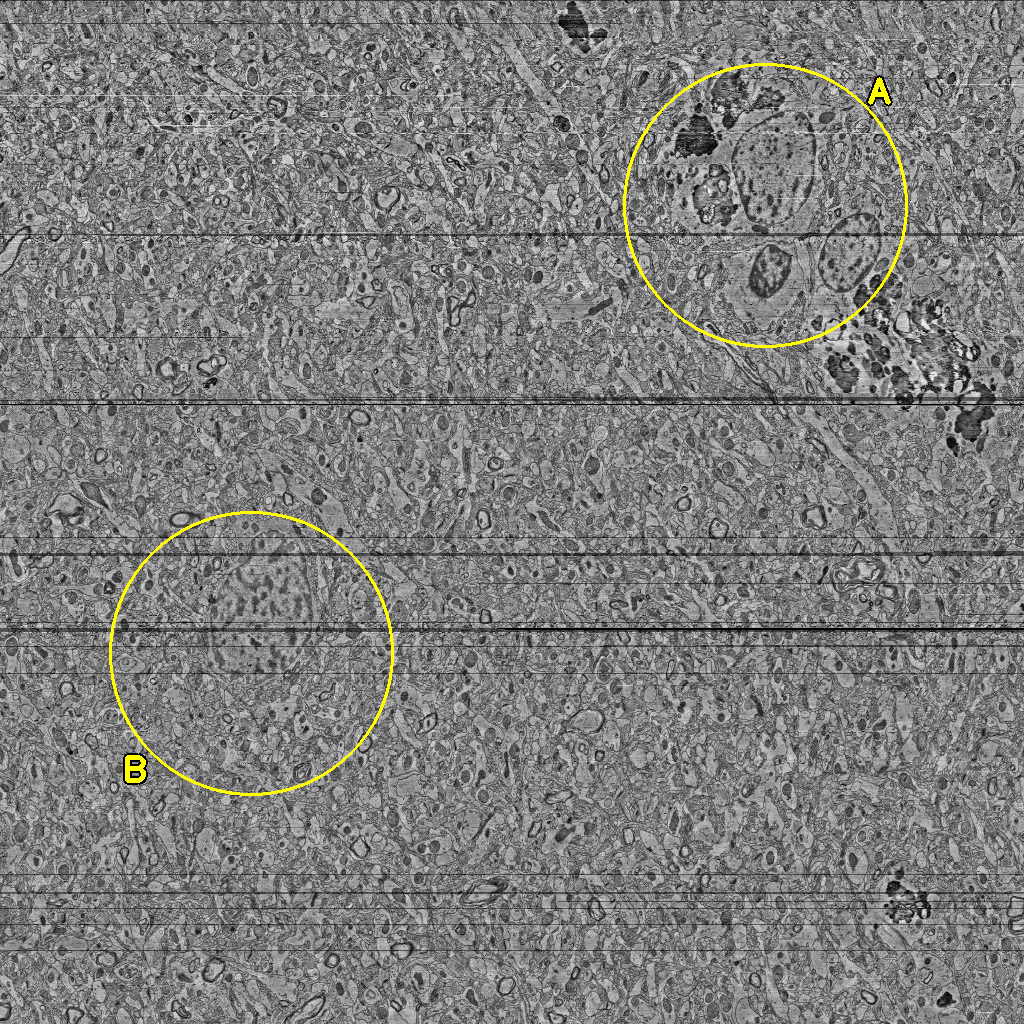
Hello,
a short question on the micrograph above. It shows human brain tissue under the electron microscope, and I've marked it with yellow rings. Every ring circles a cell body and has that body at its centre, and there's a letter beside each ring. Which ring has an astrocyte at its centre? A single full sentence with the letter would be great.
The cell you asked about sits at the centre of ring A.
